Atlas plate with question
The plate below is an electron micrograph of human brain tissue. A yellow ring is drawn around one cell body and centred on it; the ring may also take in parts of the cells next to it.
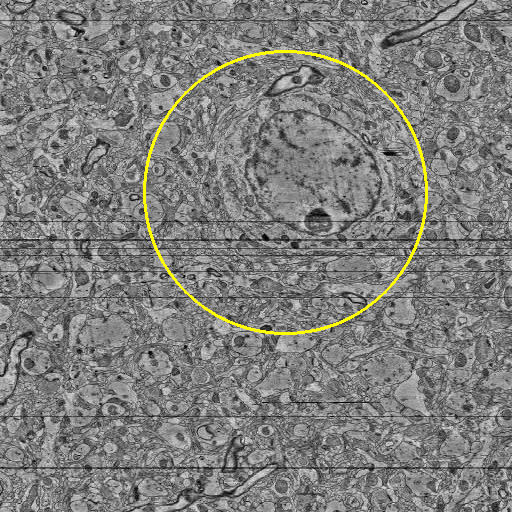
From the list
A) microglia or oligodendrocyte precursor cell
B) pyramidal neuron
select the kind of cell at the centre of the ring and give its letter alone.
B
